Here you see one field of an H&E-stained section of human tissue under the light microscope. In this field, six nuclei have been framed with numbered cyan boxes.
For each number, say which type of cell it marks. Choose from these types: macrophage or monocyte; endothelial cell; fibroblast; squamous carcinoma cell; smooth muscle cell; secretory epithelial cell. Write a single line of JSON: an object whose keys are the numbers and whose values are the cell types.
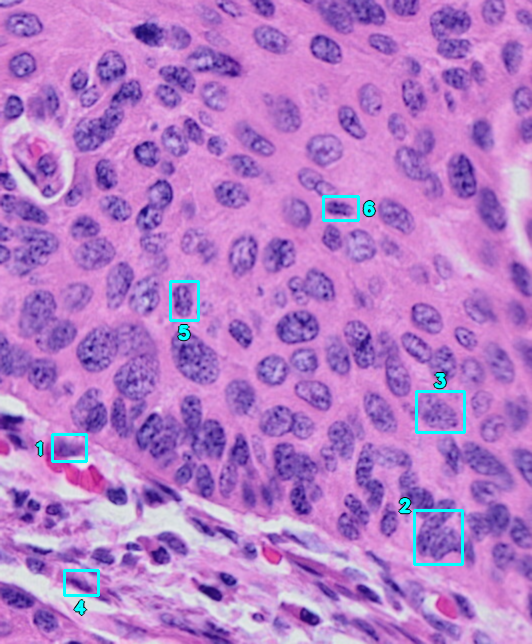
{"1": "endothelial cell", "2": "squamous carcinoma cell", "3": "squamous carcinoma cell", "4": "fibroblast", "5": "squamous carcinoma cell", "6": "squamous carcinoma cell"}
